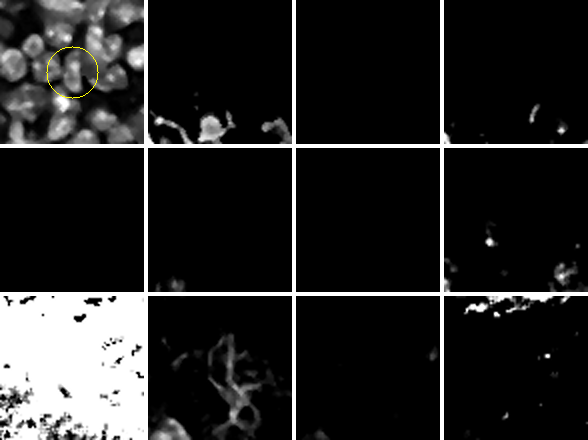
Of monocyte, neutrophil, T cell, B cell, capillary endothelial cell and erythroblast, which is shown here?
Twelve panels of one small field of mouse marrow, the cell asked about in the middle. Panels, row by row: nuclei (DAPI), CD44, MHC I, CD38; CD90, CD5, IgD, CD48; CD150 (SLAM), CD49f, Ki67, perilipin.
capillary endothelial cell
